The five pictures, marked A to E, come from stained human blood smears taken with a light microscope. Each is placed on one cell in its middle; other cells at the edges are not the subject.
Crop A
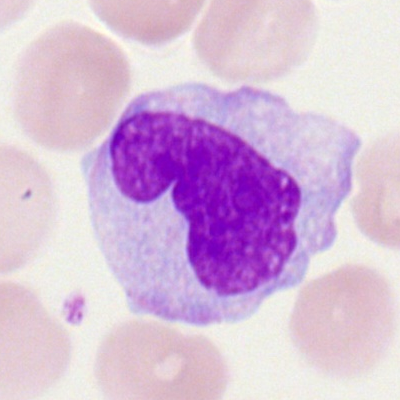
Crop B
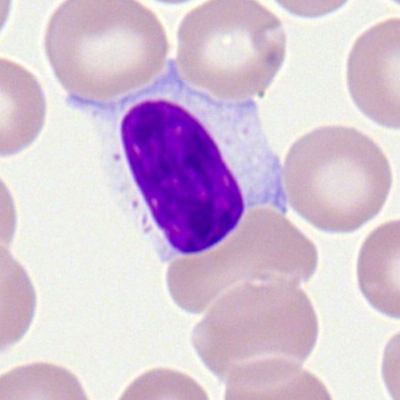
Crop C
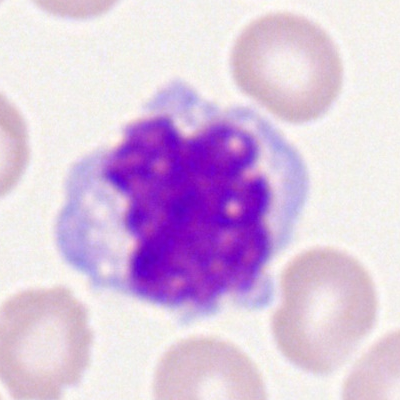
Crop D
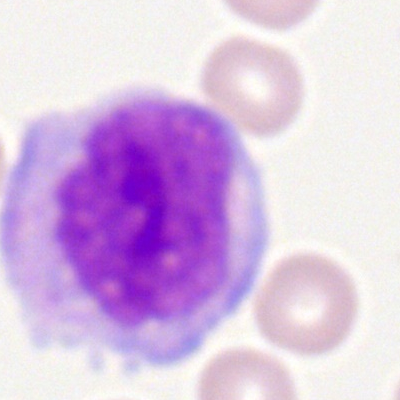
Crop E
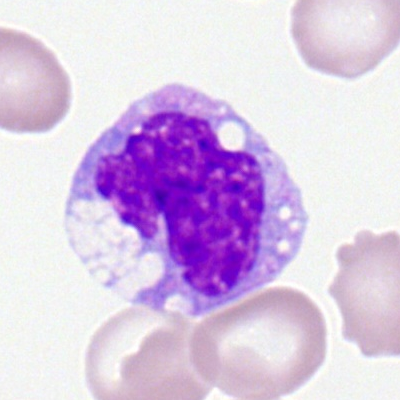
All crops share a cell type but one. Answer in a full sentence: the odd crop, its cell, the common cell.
Crop B differs: it is a lymphocyte, and all the other crops show monocytes.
